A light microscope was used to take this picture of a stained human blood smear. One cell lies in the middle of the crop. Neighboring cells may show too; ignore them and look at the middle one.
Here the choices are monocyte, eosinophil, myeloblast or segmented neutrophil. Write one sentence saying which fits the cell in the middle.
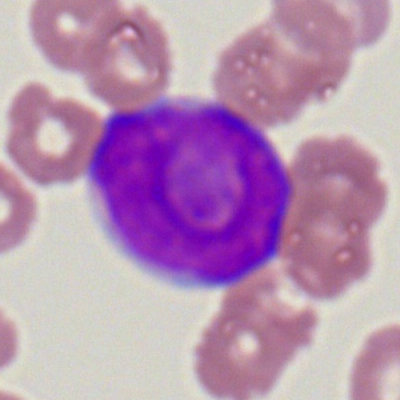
Of the cells in this crop, the central one is a myeloblast.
